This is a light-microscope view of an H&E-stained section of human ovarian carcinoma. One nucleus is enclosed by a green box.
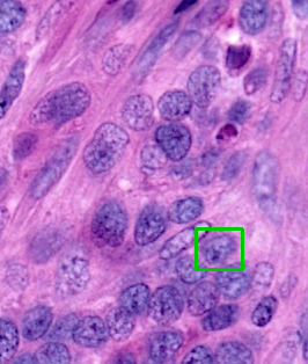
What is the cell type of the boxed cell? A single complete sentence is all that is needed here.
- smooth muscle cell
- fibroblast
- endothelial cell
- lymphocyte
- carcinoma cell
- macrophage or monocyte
With respect to cell type, the boxed cell is a carcinoma cell.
